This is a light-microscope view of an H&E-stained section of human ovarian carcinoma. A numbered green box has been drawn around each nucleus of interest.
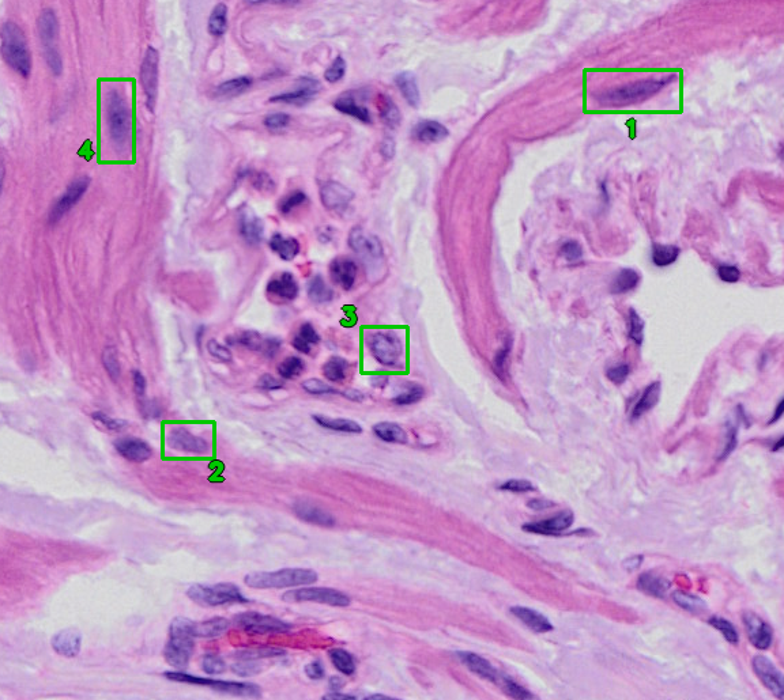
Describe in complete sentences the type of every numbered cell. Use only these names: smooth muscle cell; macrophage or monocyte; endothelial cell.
Cell 1 is a smooth muscle cell, cell 2 is a smooth muscle cell, cell 3 is an endothelial cell and cell 4 is a smooth muscle cell.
